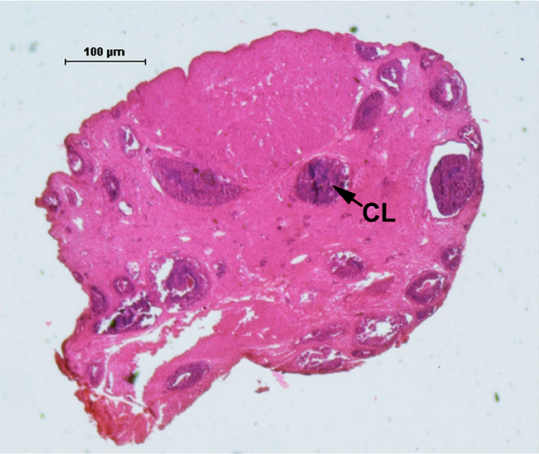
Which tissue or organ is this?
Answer: Ovary.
